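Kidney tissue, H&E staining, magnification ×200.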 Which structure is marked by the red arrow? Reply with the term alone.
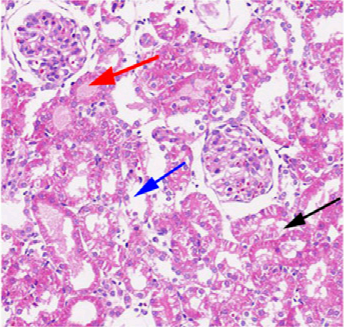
the cast in the renal tubules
